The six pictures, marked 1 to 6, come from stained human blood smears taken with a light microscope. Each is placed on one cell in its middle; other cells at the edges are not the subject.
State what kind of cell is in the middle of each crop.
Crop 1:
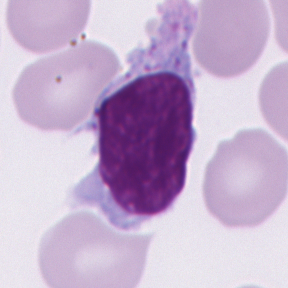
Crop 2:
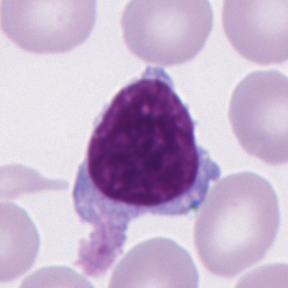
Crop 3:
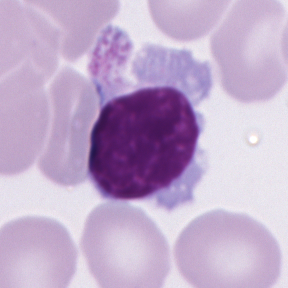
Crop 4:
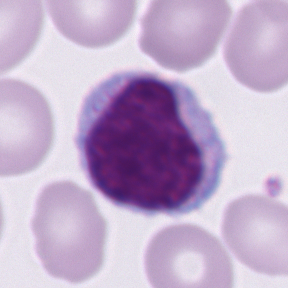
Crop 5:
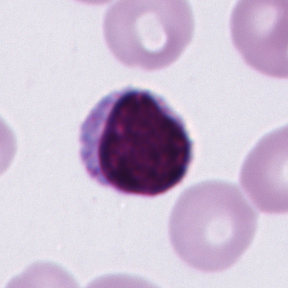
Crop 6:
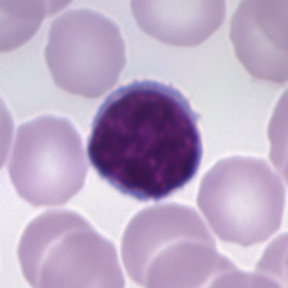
1: large granular lymphocyte
2: typical lymphocyte
3: large granular lymphocyte
4: typical lymphocyte
5: large granular lymphocyte
6: typical lymphocyte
